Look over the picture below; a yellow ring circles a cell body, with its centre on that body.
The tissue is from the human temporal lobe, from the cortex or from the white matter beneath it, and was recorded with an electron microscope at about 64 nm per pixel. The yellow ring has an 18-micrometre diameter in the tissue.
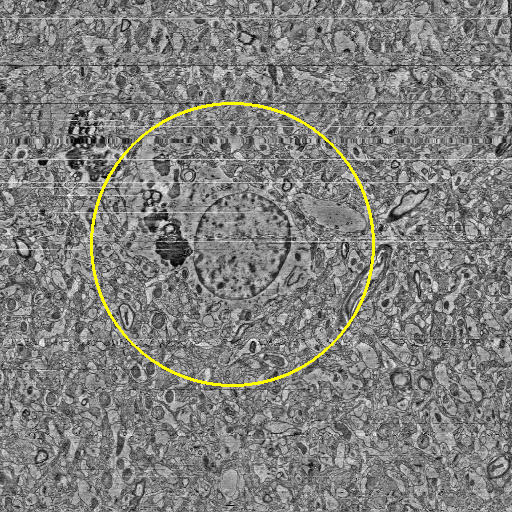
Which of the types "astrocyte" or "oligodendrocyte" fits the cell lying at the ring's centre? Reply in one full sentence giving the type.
The picture shows an astrocyte at the centre of the yellow ring.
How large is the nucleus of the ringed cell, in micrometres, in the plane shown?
In this plane, roughly 7 by 6 micrometres.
